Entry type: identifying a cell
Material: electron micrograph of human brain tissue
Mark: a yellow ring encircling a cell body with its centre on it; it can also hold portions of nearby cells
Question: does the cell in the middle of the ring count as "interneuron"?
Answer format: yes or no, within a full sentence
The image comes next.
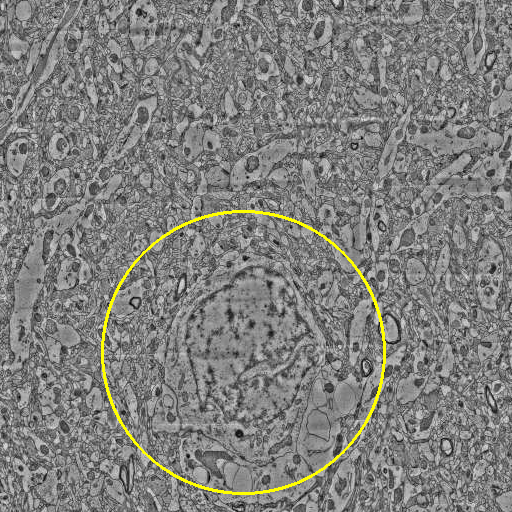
Yes, in the image, the cell in the middle of the yellow ring counts as the queried kind.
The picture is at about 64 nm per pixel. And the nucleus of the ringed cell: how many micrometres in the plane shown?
About 10 by 8 micrometers for the nucleus, in this plane.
